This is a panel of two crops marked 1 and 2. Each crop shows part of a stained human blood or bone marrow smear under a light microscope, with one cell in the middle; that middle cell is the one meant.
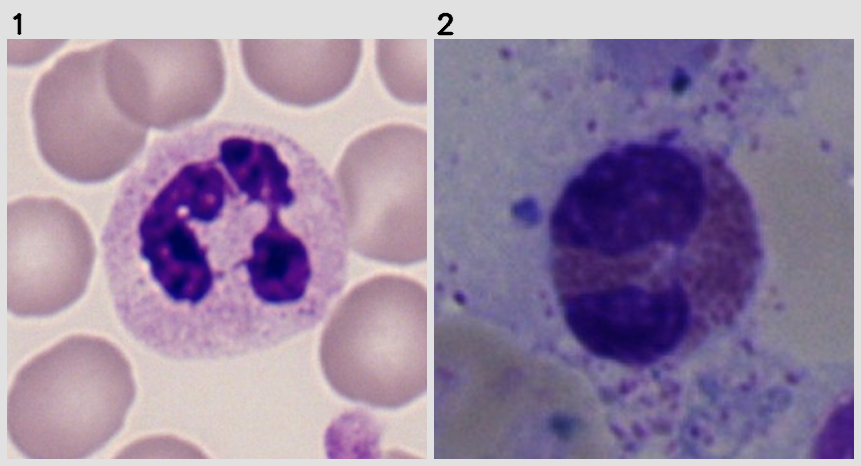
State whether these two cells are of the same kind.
no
